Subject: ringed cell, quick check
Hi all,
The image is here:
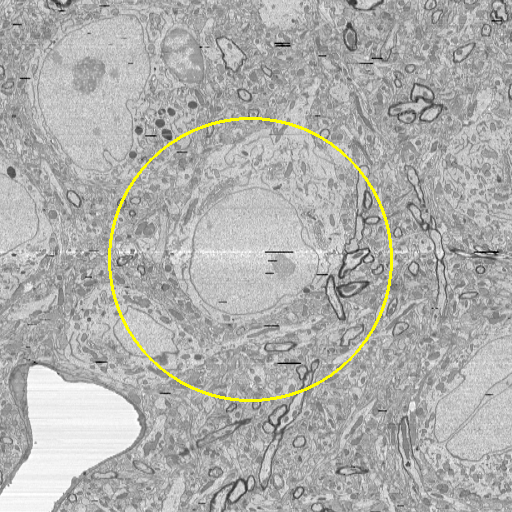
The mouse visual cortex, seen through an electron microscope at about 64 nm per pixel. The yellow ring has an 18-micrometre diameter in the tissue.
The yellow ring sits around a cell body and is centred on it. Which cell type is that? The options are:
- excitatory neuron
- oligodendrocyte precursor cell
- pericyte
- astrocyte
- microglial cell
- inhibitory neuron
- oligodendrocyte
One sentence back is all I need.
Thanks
That ringed cell is an excitatory neuron.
